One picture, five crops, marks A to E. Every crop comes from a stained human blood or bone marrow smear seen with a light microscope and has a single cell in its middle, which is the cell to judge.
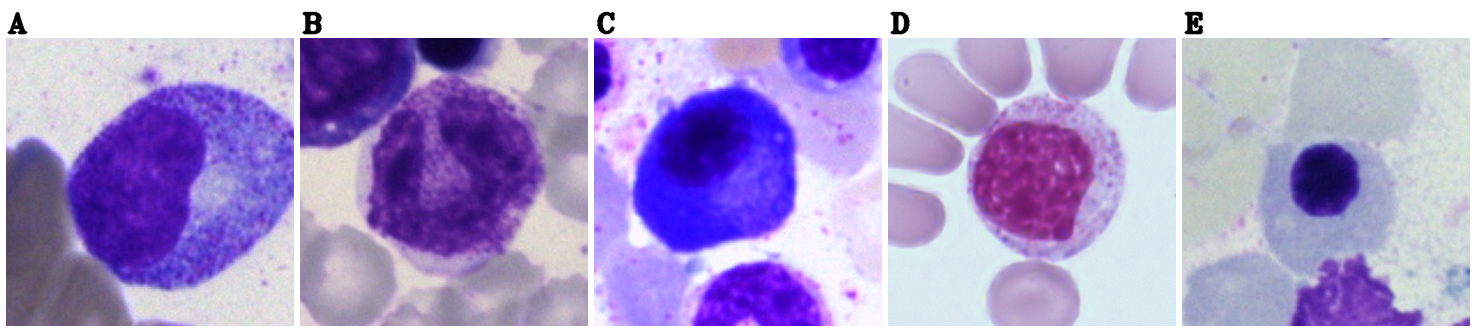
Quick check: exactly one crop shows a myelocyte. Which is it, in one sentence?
Crop A is the one that shows a myelocyte.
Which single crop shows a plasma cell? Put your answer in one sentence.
Crop C is the crop whose central cell is a plasma cell.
